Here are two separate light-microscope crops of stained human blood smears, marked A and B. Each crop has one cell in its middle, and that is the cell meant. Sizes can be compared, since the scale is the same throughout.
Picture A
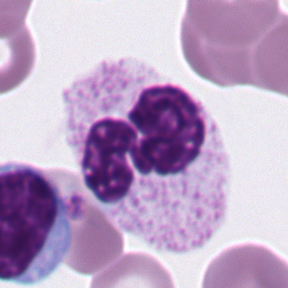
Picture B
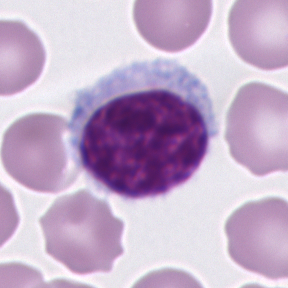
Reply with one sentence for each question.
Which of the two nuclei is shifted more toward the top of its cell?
In picture A the nucleus is shifted more toward the top.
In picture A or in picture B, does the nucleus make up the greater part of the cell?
Of the two, the nucleus in picture B makes up the greater part of its cell.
